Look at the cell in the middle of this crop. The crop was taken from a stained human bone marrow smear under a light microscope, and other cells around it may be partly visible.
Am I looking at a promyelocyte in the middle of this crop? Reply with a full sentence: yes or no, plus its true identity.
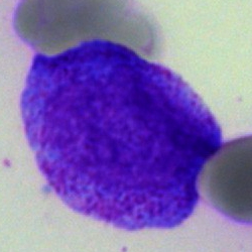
Yes, the cell in the middle of the view is a promyelocyte.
